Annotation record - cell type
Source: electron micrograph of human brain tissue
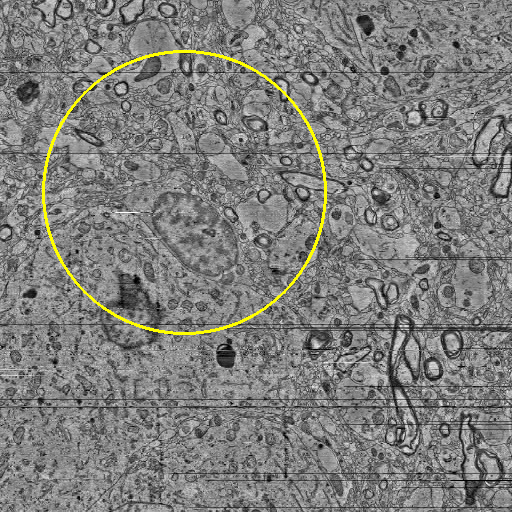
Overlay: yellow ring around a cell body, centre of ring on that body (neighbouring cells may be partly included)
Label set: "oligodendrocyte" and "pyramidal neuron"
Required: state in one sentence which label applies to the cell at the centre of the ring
This cell should be labelled as an oligodendrocyte.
